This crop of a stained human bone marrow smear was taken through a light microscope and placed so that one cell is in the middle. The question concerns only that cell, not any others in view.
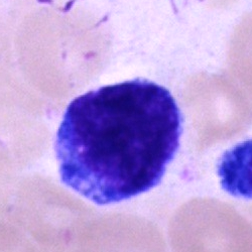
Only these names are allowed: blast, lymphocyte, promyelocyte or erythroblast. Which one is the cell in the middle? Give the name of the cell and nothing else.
blast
